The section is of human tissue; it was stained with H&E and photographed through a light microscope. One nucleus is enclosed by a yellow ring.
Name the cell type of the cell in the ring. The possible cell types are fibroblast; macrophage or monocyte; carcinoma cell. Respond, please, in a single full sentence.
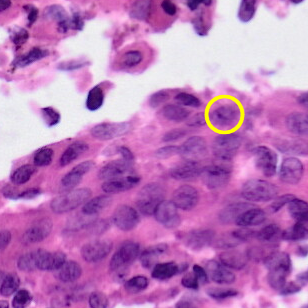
What the cell in the ring represents is a carcinoma cell.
